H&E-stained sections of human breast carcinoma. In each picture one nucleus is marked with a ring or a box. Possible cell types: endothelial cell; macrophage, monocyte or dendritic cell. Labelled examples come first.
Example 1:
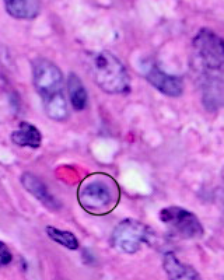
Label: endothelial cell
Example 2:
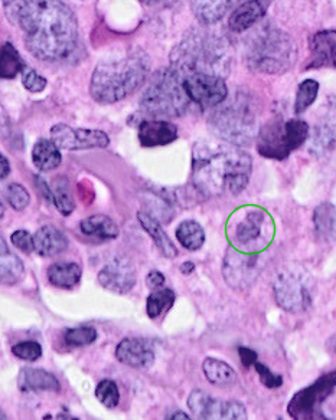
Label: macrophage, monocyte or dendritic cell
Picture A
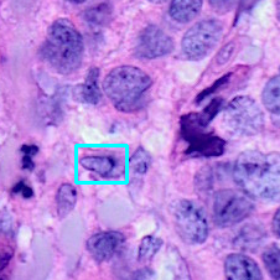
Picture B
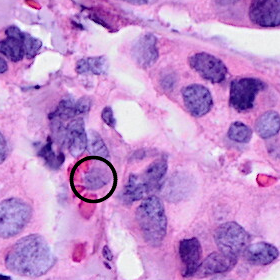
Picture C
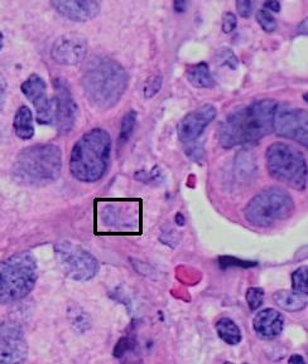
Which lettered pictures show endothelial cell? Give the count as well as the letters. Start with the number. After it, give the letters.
1: B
